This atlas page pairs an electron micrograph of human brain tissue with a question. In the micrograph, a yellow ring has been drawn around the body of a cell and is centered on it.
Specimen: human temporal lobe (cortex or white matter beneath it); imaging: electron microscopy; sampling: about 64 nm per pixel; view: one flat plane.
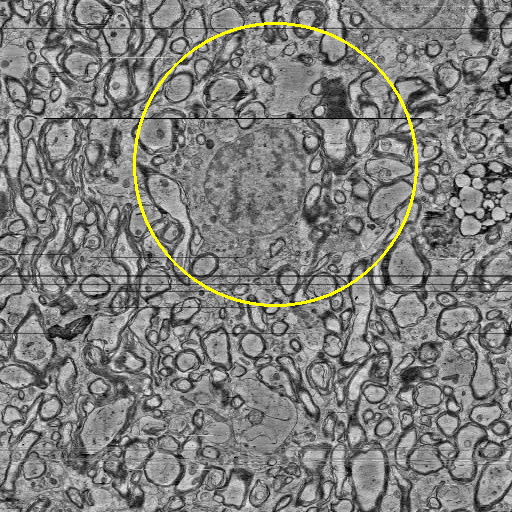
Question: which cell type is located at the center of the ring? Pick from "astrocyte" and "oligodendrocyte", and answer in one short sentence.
Located at the center of the ring is an oligodendrocyte.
